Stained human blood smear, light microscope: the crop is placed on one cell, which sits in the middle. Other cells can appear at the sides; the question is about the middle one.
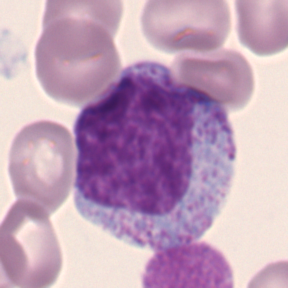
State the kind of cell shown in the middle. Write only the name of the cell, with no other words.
promyelocyte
